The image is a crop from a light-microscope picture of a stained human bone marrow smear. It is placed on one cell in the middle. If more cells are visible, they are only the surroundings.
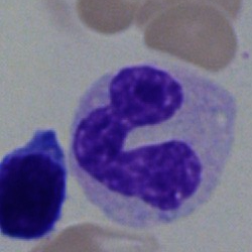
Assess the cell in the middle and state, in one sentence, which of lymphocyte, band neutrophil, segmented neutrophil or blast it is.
The cell around which this crop is centred is a band neutrophil.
